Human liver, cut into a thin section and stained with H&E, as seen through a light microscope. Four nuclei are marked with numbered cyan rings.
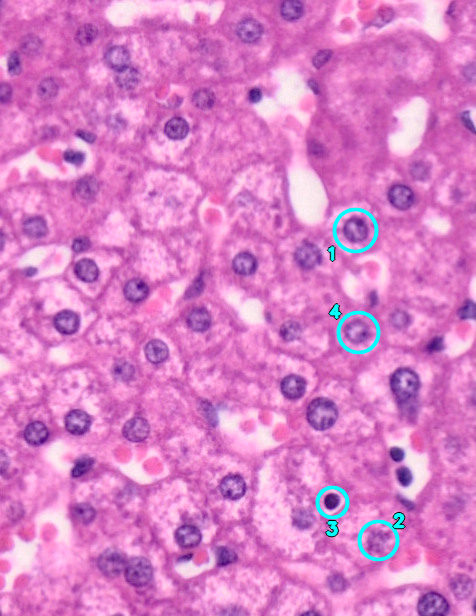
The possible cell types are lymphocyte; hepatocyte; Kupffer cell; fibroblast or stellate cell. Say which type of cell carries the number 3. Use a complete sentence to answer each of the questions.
The correct label for cell 3 is a lymphocyte.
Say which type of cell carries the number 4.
Of the numbered cells, the one labelled 4 is a hepatocyte.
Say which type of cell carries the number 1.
In this section, the cell numbered 1 is a hepatocyte.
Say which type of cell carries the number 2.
The numeral 2 marks a hepatocyte in this section.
